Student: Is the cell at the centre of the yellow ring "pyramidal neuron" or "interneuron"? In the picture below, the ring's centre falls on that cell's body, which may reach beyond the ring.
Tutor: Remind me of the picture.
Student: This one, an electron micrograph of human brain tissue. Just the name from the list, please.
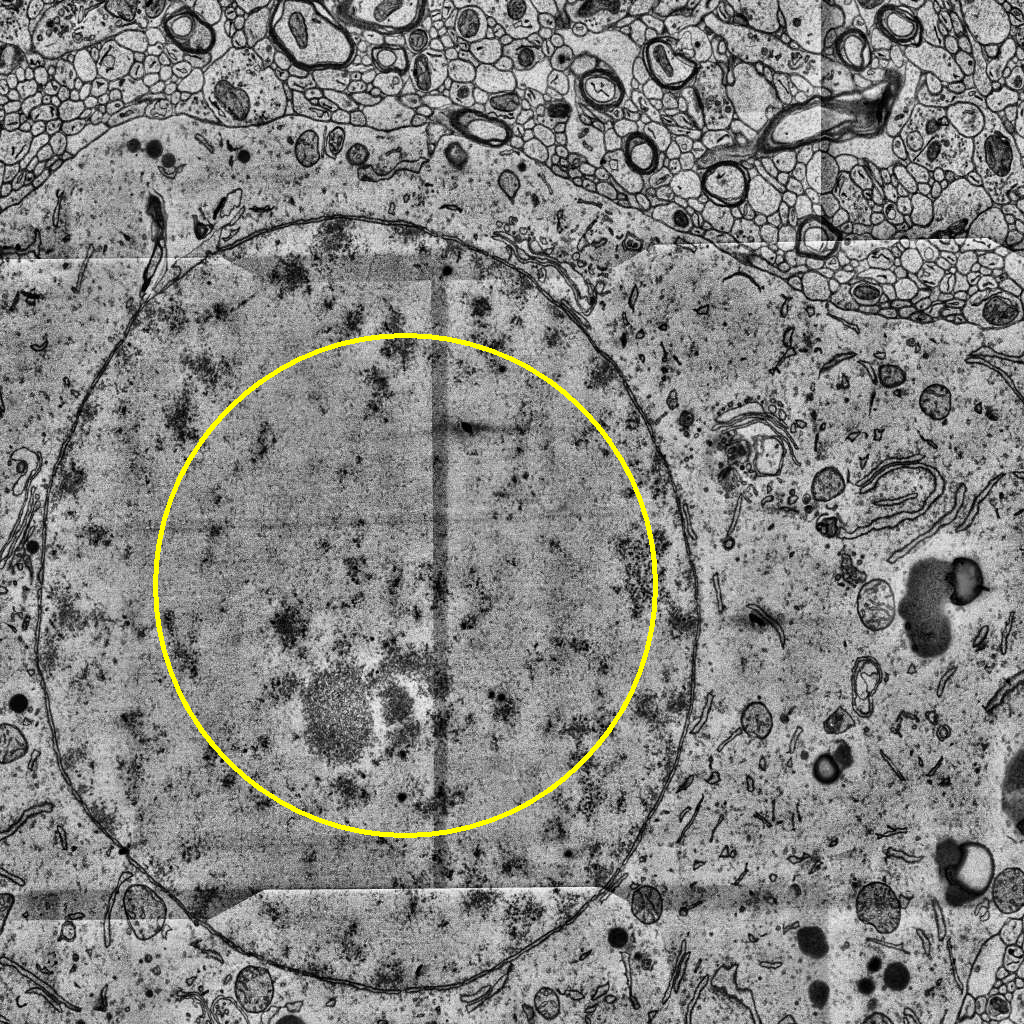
pyramidal neuron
